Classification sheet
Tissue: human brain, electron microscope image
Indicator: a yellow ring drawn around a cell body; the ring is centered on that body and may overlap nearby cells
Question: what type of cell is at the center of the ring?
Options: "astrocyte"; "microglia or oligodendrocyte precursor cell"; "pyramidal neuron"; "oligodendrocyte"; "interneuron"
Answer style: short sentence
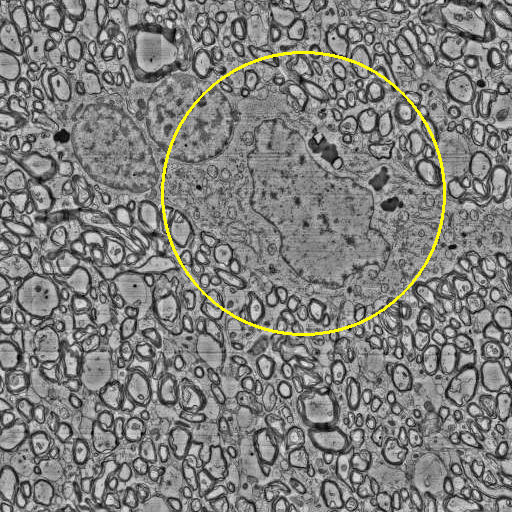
At the ring's center is a pyramidal neuron.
